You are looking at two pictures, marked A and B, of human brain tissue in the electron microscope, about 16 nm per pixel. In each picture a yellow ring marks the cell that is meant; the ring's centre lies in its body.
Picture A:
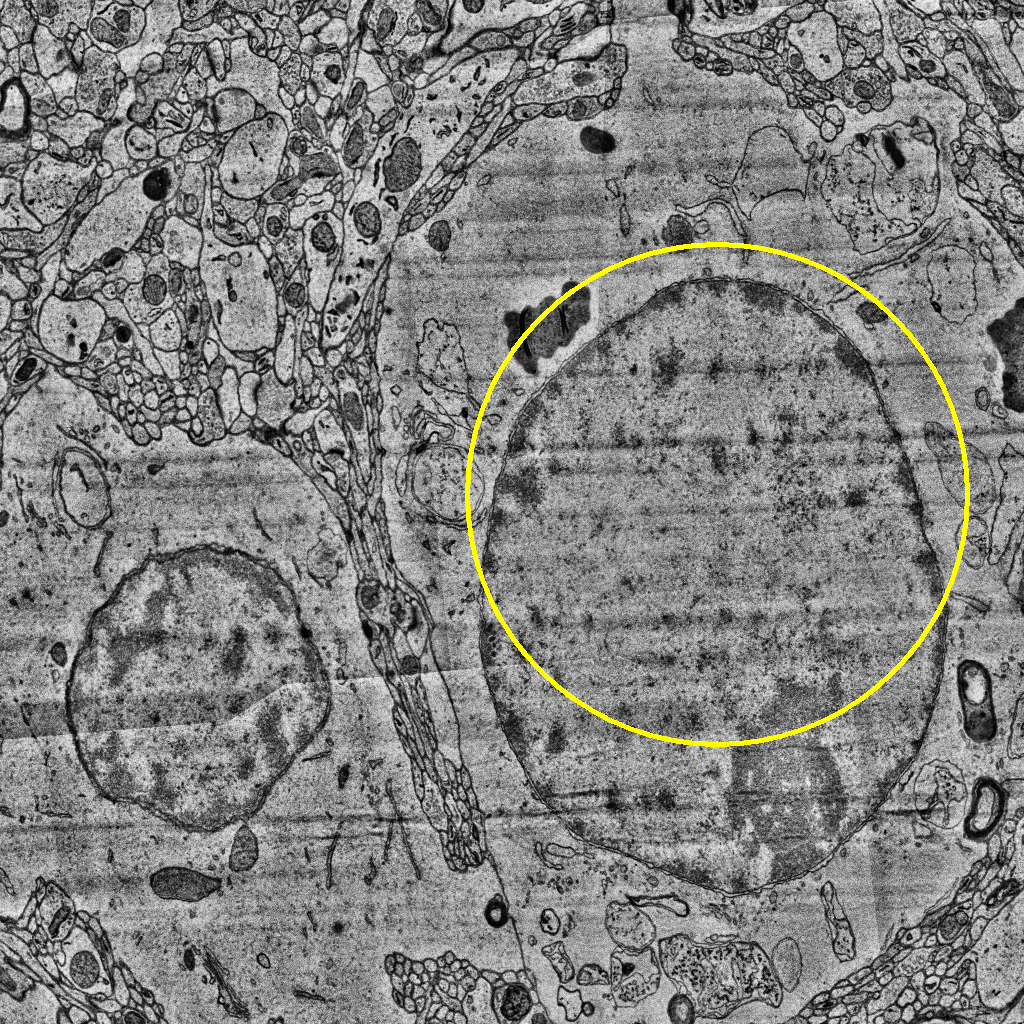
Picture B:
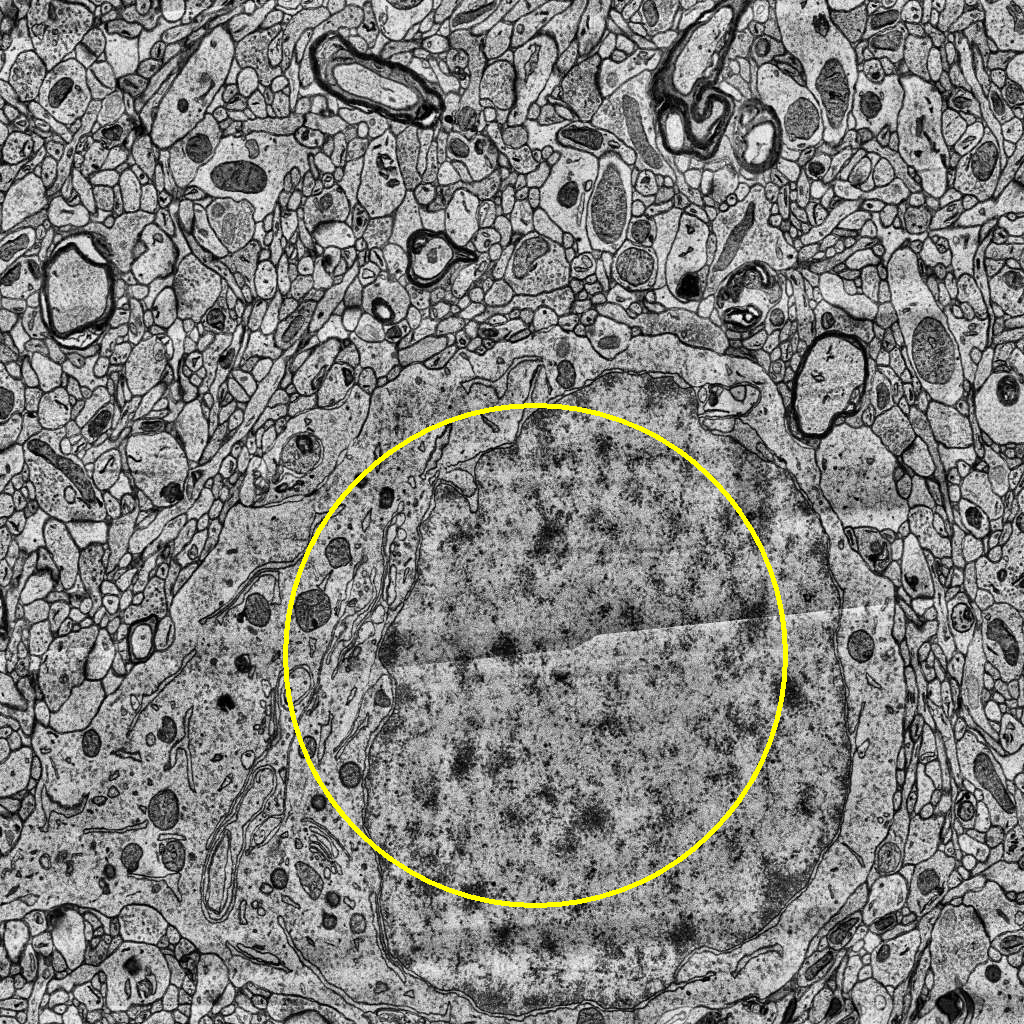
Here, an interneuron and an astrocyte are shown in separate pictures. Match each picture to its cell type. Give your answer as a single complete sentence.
Picture A shows an astrocyte and picture B shows an interneuron.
